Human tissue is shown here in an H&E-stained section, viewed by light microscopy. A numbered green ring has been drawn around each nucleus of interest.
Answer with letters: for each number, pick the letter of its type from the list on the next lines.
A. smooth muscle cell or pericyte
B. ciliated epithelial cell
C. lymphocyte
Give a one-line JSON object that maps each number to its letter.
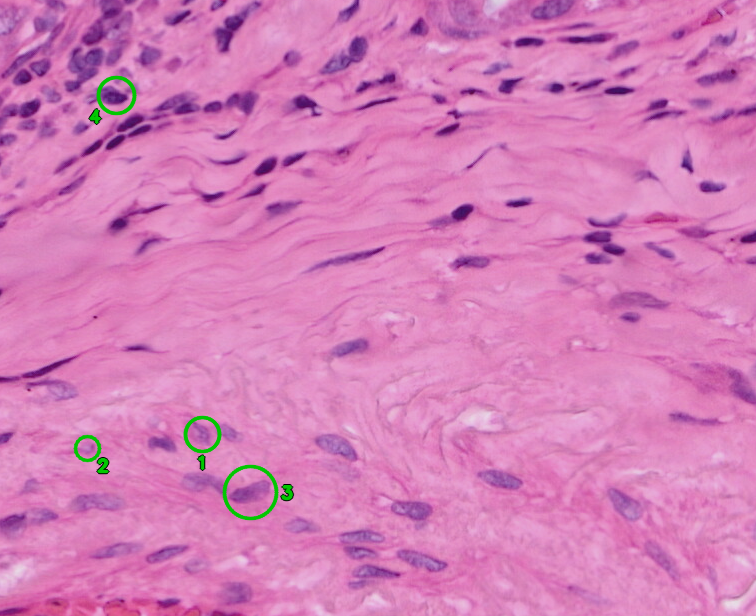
{"1": "A", "2": "A", "3": "A", "4": "C"}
